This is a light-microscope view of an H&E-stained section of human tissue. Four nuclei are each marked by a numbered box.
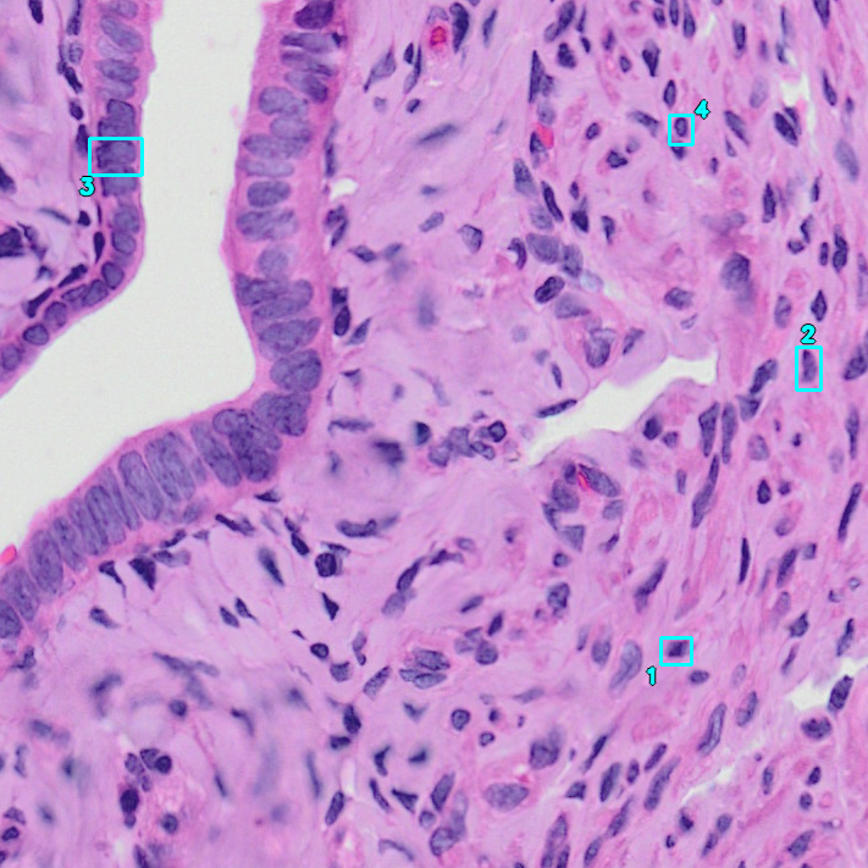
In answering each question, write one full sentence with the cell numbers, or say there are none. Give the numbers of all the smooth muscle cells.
Into the category of smooth muscle cells fall the cells numbered 1, 2 and 4.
